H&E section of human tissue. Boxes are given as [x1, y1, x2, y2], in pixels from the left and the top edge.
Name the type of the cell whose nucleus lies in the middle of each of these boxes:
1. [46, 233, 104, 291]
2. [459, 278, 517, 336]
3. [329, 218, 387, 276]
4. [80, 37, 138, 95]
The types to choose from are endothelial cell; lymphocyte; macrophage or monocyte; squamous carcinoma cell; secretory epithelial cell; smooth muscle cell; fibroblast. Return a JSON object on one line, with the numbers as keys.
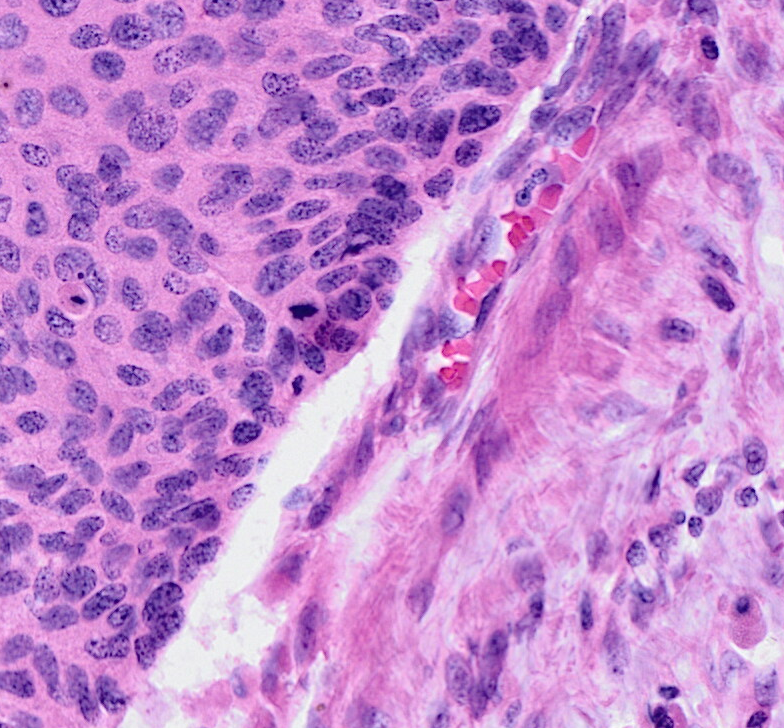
{"1": "squamous carcinoma cell", "2": "endothelial cell", "3": "squamous carcinoma cell", "4": "squamous carcinoma cell"}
